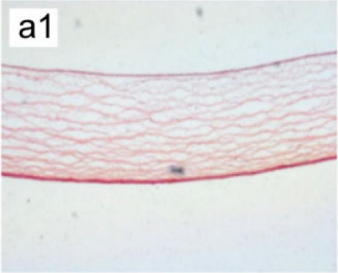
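Section of cornea showing a curved band of stroma made of many thin, parallel, wavy pink lamellae with pale clefts between them. The upper and lower surfaces are sharply bounded, with a denser pink line running along the lower edge. No breaks or clusters of cells disturb the regular layering.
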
